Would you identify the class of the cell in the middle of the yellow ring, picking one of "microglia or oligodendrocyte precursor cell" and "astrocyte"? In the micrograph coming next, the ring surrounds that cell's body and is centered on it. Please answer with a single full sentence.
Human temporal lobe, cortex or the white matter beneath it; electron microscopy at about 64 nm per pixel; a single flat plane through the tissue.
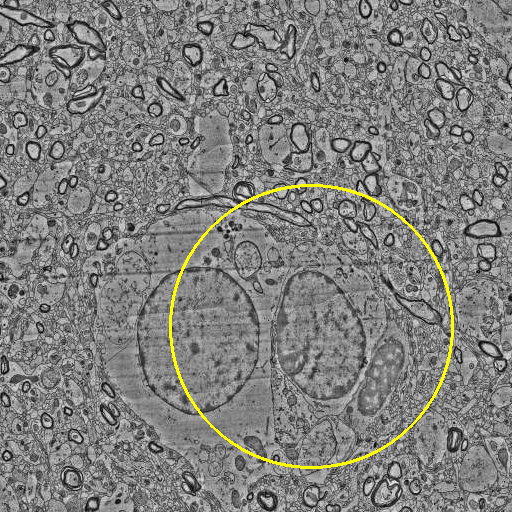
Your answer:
In the micrograph, it is a microglial cell or oligodendrocyte precursor cell whose body lies at the ring's center.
